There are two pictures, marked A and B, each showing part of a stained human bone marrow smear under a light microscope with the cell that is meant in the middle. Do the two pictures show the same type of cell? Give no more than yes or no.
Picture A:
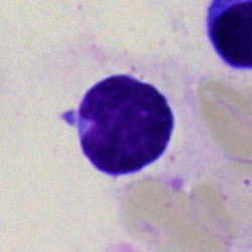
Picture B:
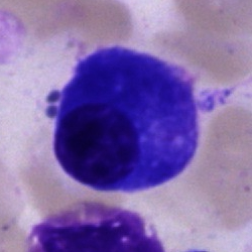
no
